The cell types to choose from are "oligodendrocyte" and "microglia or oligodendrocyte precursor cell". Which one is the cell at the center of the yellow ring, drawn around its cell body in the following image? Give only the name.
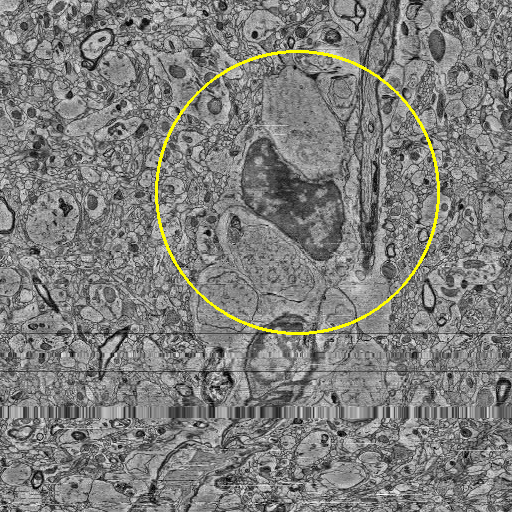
microglia or oligodendrocyte precursor cell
